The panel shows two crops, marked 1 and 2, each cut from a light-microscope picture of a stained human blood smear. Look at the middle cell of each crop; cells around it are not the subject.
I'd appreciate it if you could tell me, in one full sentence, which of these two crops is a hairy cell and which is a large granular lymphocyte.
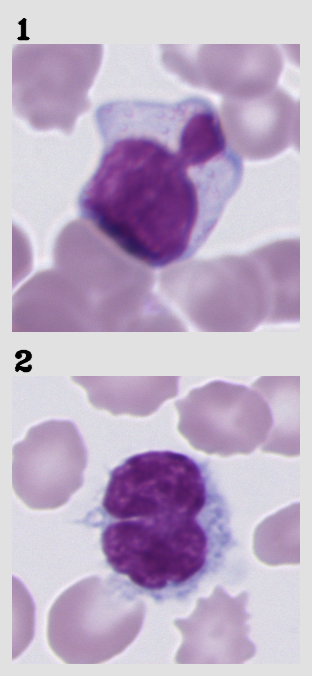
Crop 1 should be reported as a large granular lymphocyte, and crop 2 as a hairy cell.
